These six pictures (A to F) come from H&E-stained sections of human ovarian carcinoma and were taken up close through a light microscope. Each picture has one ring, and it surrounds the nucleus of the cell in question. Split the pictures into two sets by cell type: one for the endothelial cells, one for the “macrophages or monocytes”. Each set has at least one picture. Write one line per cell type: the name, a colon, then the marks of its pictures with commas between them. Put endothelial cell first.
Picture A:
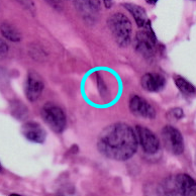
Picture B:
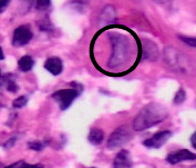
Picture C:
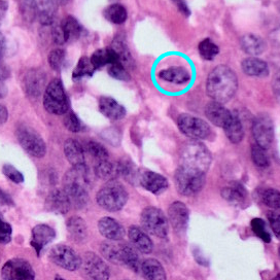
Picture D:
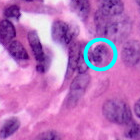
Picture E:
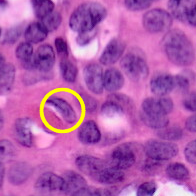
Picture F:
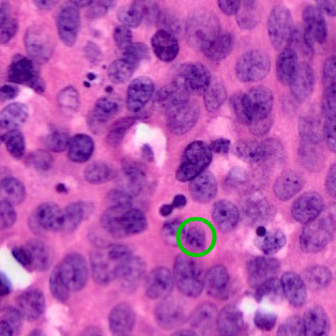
endothelial cell: A, B, E, F
macrophage or monocyte: C, D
